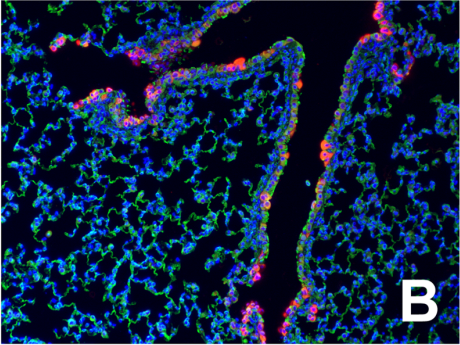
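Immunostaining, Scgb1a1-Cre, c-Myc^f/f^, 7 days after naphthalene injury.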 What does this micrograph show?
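Lung with airway lumens flanked by alveolar parenchyma. The airway epithelium is a continuous lining, with rounded red-stained cells scattered along it and clustered on an epithelial fold, among green-stained cells. Thin alveolar septa with blue nuclei and green staining form a lacy network around the airways.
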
